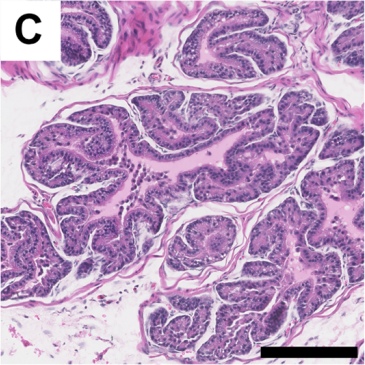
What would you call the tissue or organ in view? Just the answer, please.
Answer: Anterior prostates.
